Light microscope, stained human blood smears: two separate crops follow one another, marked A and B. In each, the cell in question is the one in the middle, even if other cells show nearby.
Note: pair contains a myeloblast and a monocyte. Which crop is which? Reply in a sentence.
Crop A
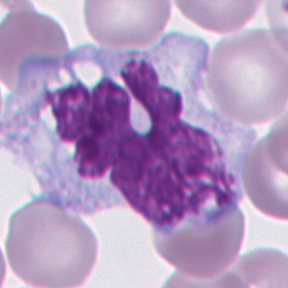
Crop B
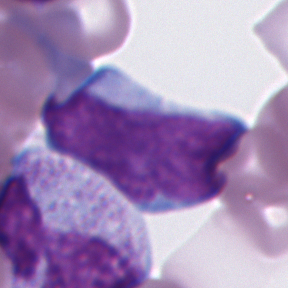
Represented in crop A is a monocyte; represented in crop B is a myeloblast.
